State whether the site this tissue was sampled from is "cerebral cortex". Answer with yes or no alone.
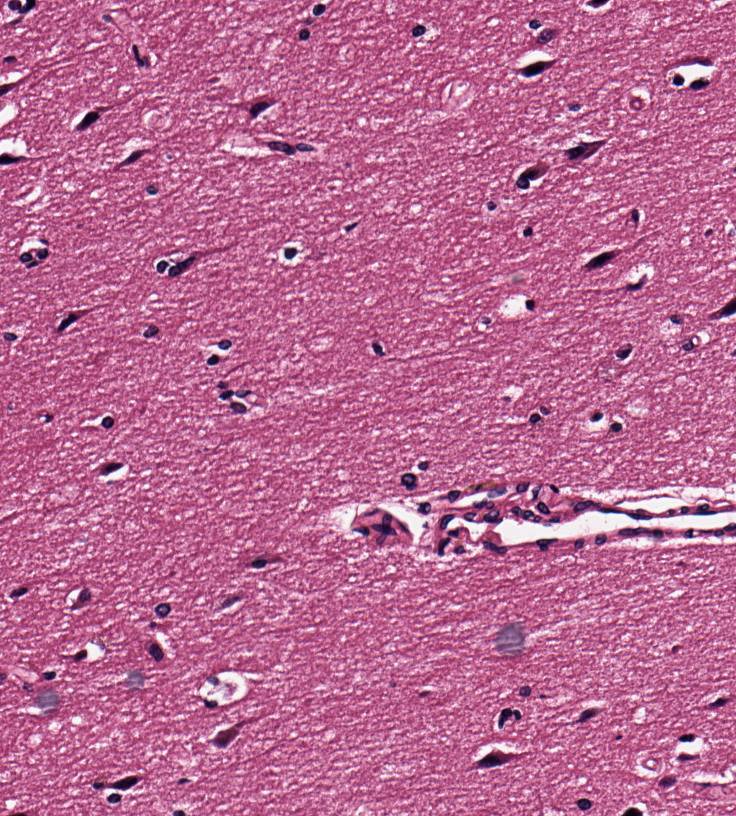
yes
